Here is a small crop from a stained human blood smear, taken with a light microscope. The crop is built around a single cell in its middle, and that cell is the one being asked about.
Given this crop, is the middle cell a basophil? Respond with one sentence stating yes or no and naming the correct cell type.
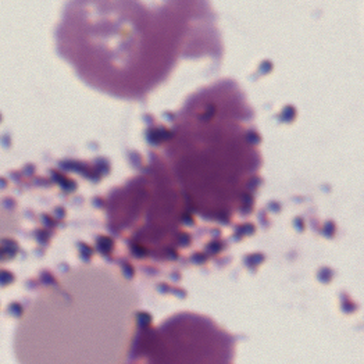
Yes, centred in the crop is a basophil.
